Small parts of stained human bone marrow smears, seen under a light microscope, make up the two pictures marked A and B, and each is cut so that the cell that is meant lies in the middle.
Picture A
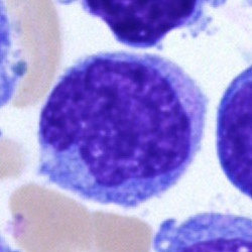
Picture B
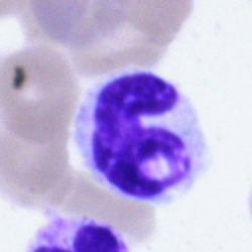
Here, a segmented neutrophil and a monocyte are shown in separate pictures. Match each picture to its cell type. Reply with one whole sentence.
Picture A is of a monocyte, and picture B is of a segmented neutrophil.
